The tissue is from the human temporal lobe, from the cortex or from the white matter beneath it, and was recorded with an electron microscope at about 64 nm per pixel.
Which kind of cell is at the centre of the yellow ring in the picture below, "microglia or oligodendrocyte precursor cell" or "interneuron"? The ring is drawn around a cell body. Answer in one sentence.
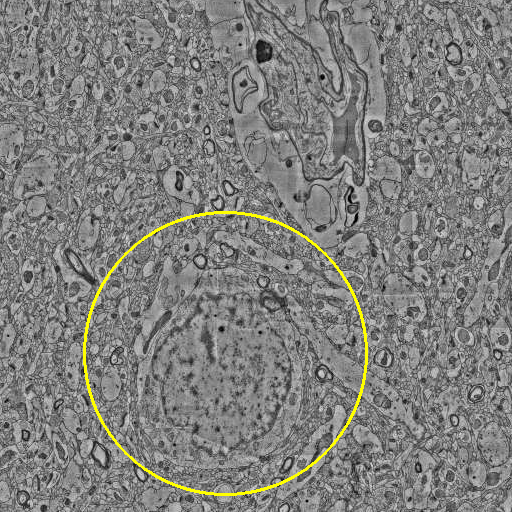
The ring's central cell is an interneuron.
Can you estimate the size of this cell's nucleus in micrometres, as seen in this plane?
In this plane, the nucleus of the cell at the centre of the ring measures about 10 by 9 micrometres.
